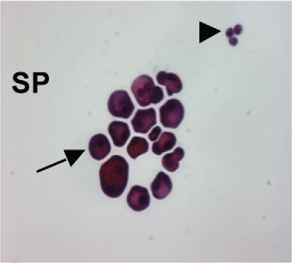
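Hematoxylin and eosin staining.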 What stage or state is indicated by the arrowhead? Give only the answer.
Small with little cytoplasmic space.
